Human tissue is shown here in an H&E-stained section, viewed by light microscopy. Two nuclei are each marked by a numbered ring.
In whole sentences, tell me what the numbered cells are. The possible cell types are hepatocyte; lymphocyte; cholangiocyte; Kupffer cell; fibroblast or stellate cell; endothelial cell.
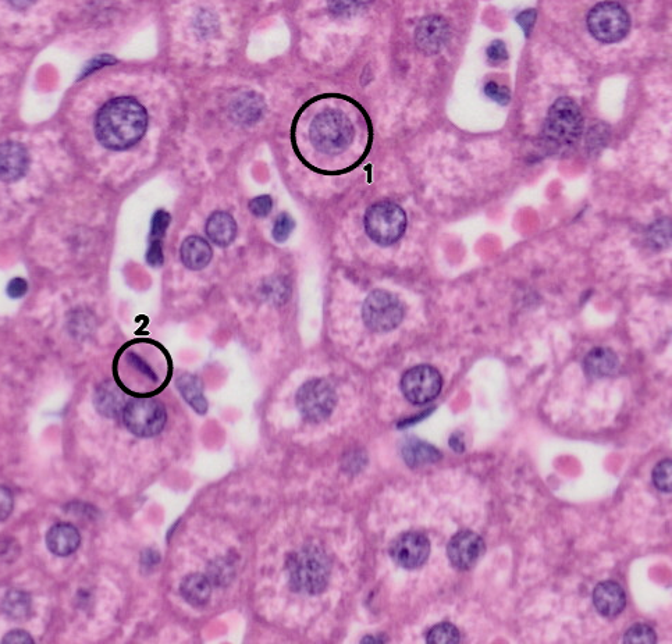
Cell 1 is a hepatocyte. Cell 2 is a fibroblast or stellate cell.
